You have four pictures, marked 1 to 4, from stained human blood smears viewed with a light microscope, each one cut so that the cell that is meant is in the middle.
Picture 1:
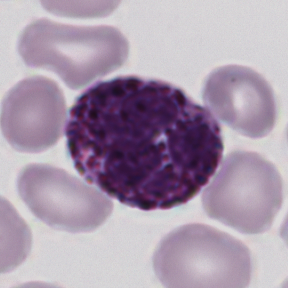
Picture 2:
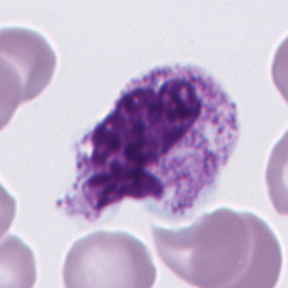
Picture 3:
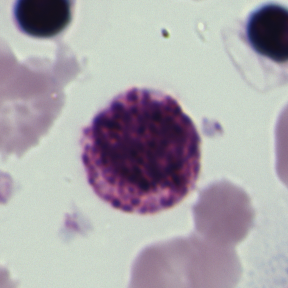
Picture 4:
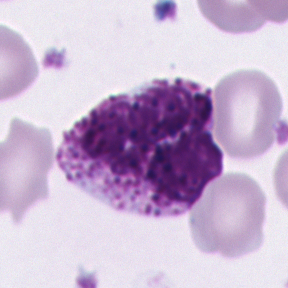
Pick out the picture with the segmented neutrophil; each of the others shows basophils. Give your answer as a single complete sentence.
The segmented neutrophil is the one in picture 2.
